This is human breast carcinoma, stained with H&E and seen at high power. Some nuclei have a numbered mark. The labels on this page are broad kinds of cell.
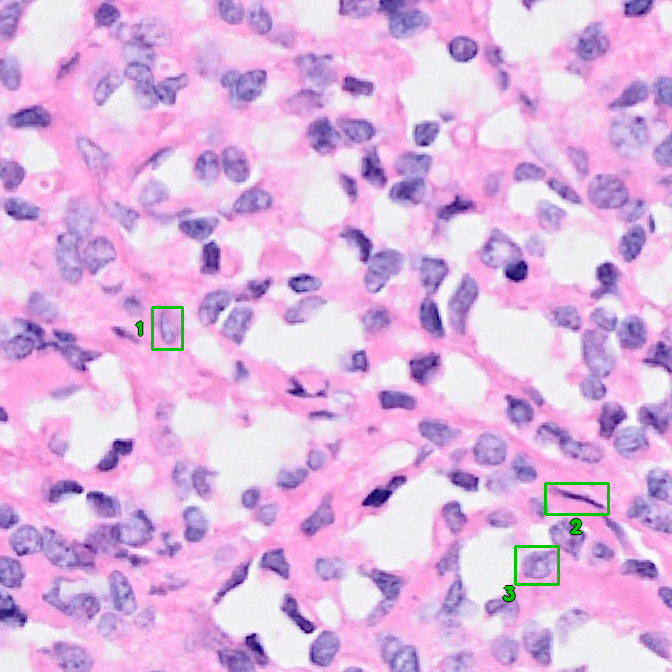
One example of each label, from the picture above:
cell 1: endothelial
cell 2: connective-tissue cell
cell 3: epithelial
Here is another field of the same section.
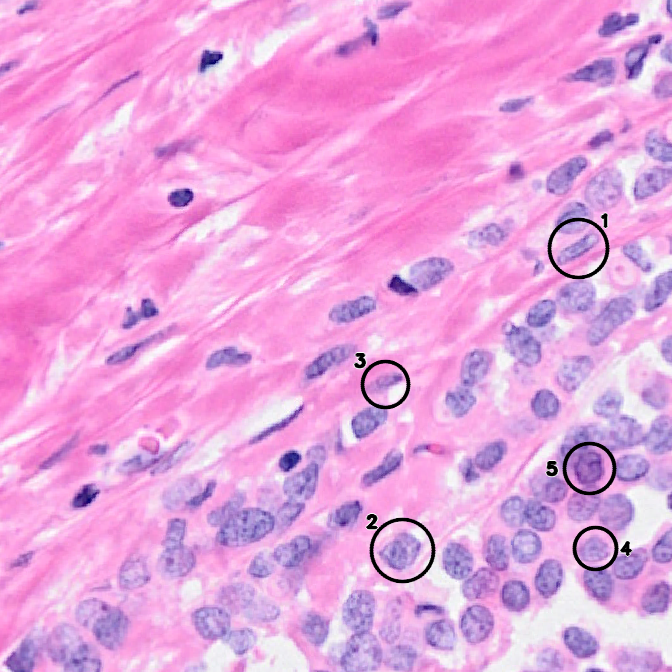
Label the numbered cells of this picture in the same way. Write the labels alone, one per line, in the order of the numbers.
endothelial
epithelial
connective-tissue cell
epithelial
epithelial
